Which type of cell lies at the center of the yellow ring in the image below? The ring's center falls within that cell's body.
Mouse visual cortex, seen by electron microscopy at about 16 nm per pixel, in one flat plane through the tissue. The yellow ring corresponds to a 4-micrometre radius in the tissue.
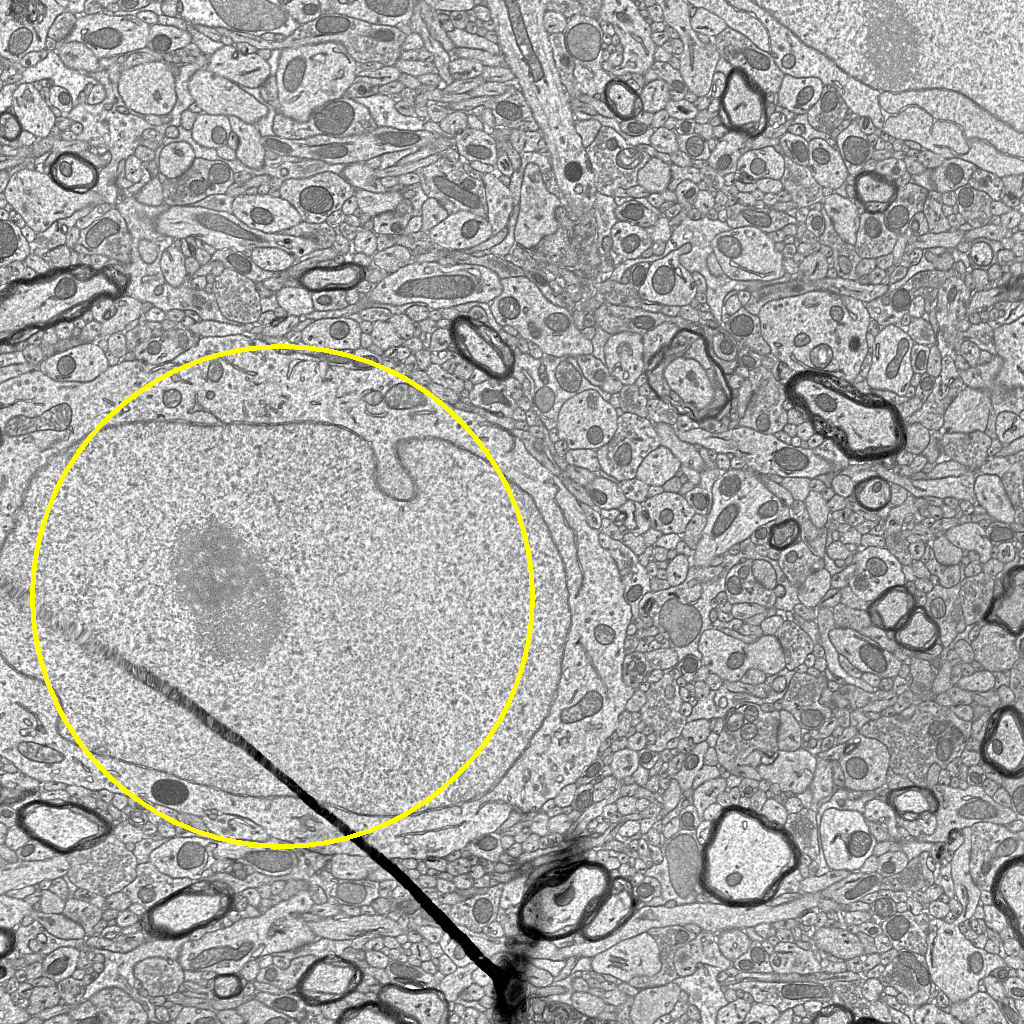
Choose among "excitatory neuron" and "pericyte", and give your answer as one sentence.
The cell body at the center belongs to an excitatory neuron.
